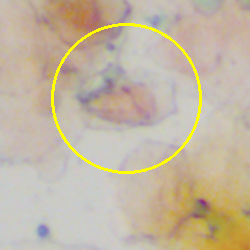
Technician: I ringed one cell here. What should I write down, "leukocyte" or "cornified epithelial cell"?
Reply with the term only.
cornified epithelial cell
